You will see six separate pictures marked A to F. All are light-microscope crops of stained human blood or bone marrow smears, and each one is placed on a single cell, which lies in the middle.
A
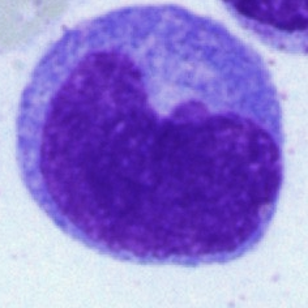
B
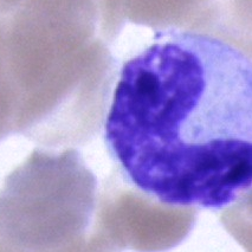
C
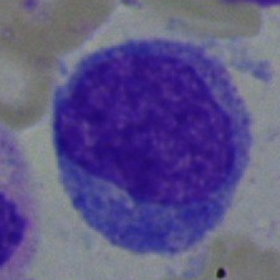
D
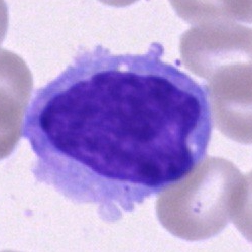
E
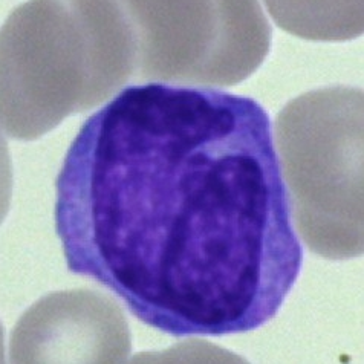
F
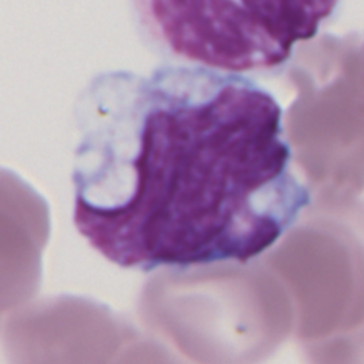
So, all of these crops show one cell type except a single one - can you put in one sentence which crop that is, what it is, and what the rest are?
The cells centred in the other crops are all monocytes, but crop B is a band neutrophil.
